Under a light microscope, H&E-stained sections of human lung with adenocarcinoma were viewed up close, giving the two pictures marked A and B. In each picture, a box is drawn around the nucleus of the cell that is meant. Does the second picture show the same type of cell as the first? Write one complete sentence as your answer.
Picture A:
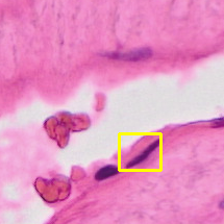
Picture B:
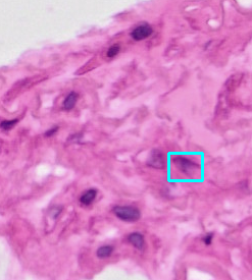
No. Picture A shows an endothelial cell, but picture B shows a “smooth muscle cell or pericyte”.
